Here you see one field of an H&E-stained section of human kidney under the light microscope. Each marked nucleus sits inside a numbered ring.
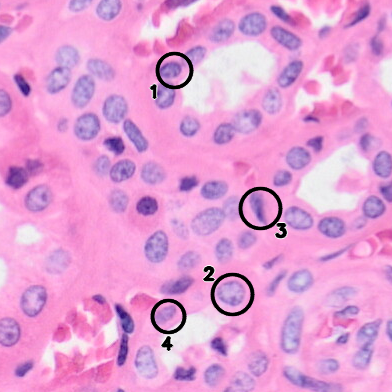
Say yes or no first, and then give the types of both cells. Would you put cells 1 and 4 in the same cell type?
Yes, briefly put, cells 1 and 4 are both collecting duct cells.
